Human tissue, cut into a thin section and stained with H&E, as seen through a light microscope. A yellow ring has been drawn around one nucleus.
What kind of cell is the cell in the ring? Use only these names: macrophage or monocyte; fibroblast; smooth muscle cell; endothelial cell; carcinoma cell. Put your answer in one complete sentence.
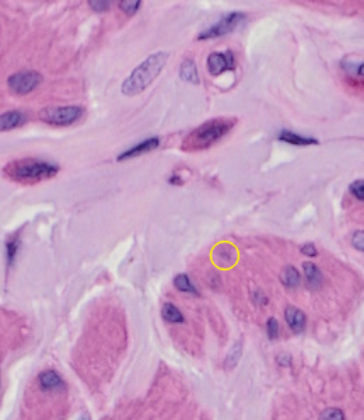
Assigned to a cell type, the cell in the ring is a smooth muscle cell.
